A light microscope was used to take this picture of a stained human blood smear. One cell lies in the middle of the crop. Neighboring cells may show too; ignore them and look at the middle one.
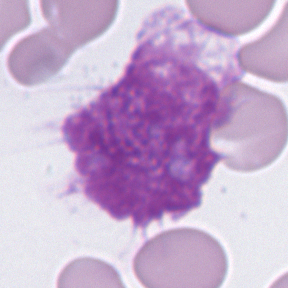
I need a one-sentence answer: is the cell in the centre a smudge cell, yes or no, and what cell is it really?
Yes, in the centre of this field sits a smudge cell.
